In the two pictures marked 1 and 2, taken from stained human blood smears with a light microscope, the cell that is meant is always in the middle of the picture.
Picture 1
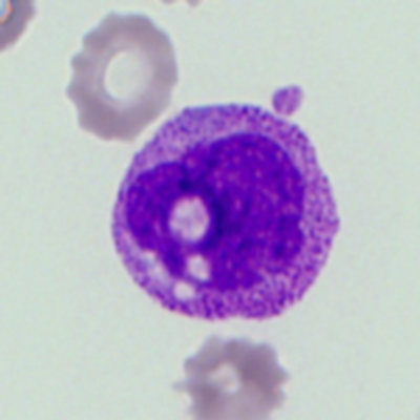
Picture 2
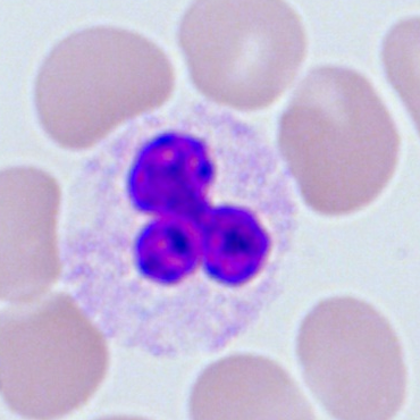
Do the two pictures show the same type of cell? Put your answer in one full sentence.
No; the cell in picture 1 is a monocyte, while the one in picture 2 is a segmented neutrophil.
